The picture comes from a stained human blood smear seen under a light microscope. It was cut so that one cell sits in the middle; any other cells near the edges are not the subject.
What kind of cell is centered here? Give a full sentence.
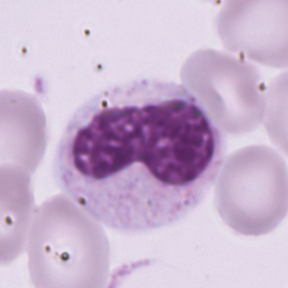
Occupying the centre of the crop is a band neutrophil.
